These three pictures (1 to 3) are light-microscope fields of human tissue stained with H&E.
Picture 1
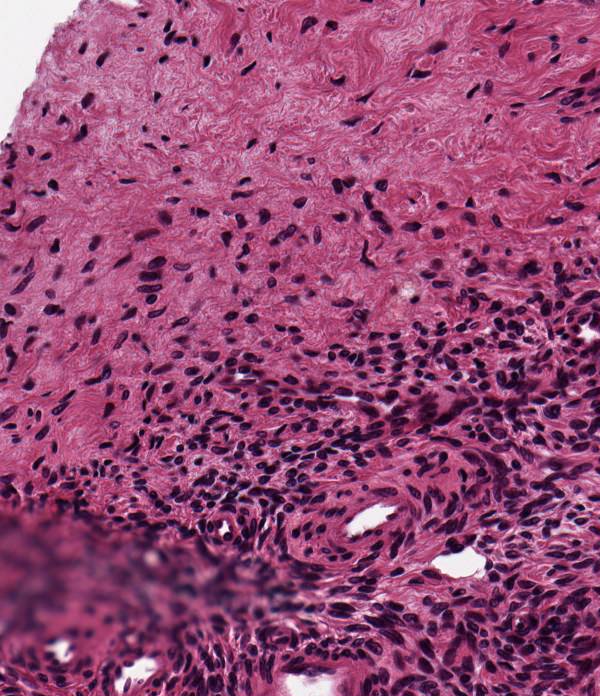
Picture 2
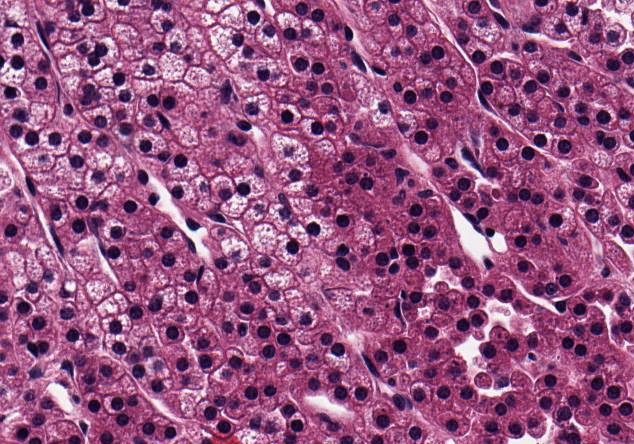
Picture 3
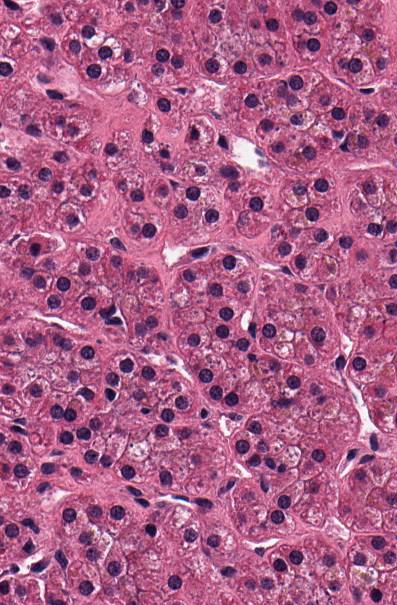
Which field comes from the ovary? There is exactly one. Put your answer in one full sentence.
The one that comes from the ovary is picture 1.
